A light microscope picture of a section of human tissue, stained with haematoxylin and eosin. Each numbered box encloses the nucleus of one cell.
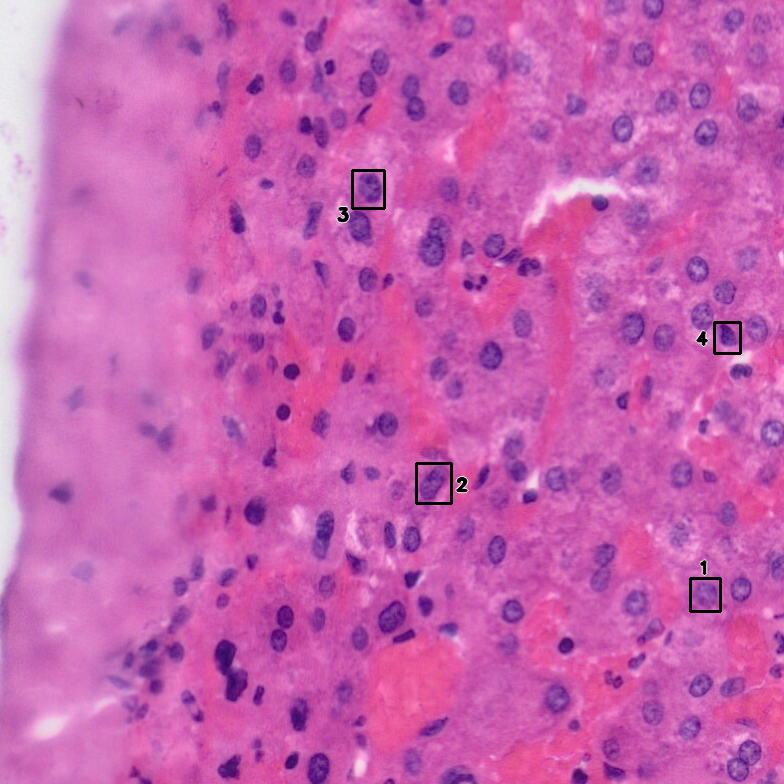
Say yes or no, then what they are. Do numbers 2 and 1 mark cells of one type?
Yes, cells 2 and 1 are both hepatocytes and thus of one type.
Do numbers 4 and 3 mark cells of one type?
No: cell 4 is a fibroblast or stellate cell, while cell 3 is a hepatocyte.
